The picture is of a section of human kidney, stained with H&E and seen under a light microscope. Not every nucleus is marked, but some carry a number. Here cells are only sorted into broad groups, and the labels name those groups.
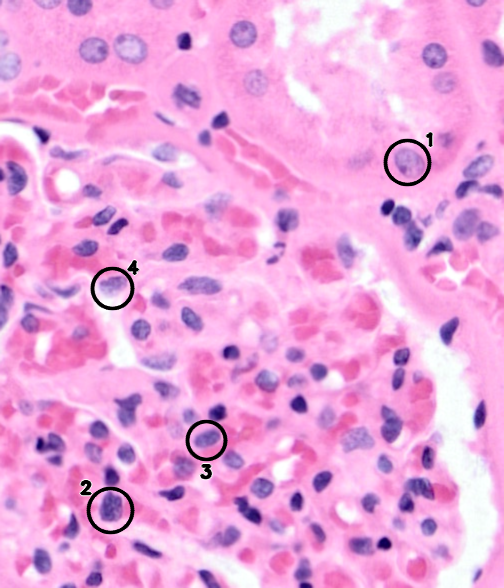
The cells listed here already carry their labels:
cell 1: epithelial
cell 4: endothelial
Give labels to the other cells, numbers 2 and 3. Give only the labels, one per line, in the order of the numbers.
endothelial
endothelial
